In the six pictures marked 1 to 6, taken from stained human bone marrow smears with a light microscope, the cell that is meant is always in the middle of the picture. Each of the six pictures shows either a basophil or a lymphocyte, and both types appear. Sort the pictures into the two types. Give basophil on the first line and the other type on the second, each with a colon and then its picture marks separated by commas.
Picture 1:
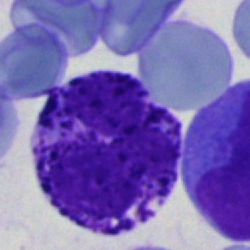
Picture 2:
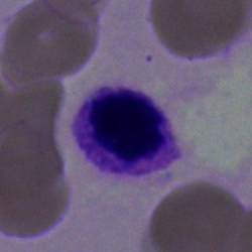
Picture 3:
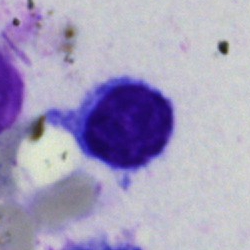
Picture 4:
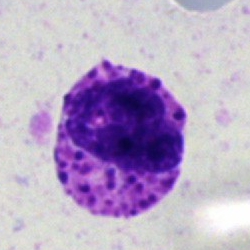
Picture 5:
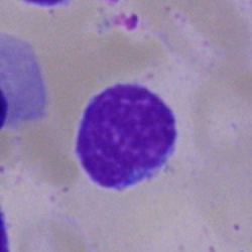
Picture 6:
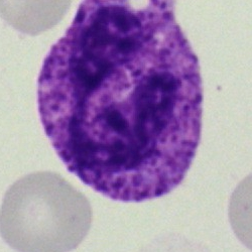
basophil: 1, 2, 4, 6
lymphocyte: 3, 5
